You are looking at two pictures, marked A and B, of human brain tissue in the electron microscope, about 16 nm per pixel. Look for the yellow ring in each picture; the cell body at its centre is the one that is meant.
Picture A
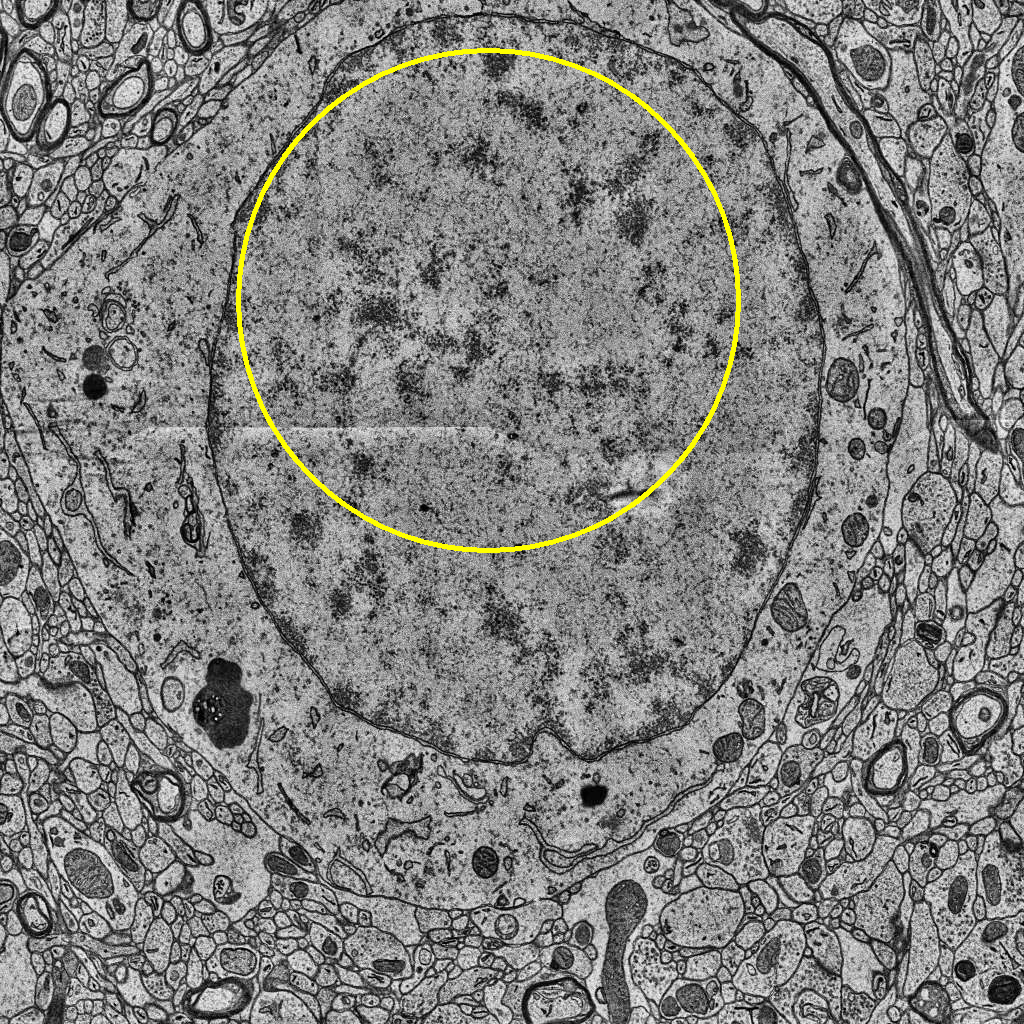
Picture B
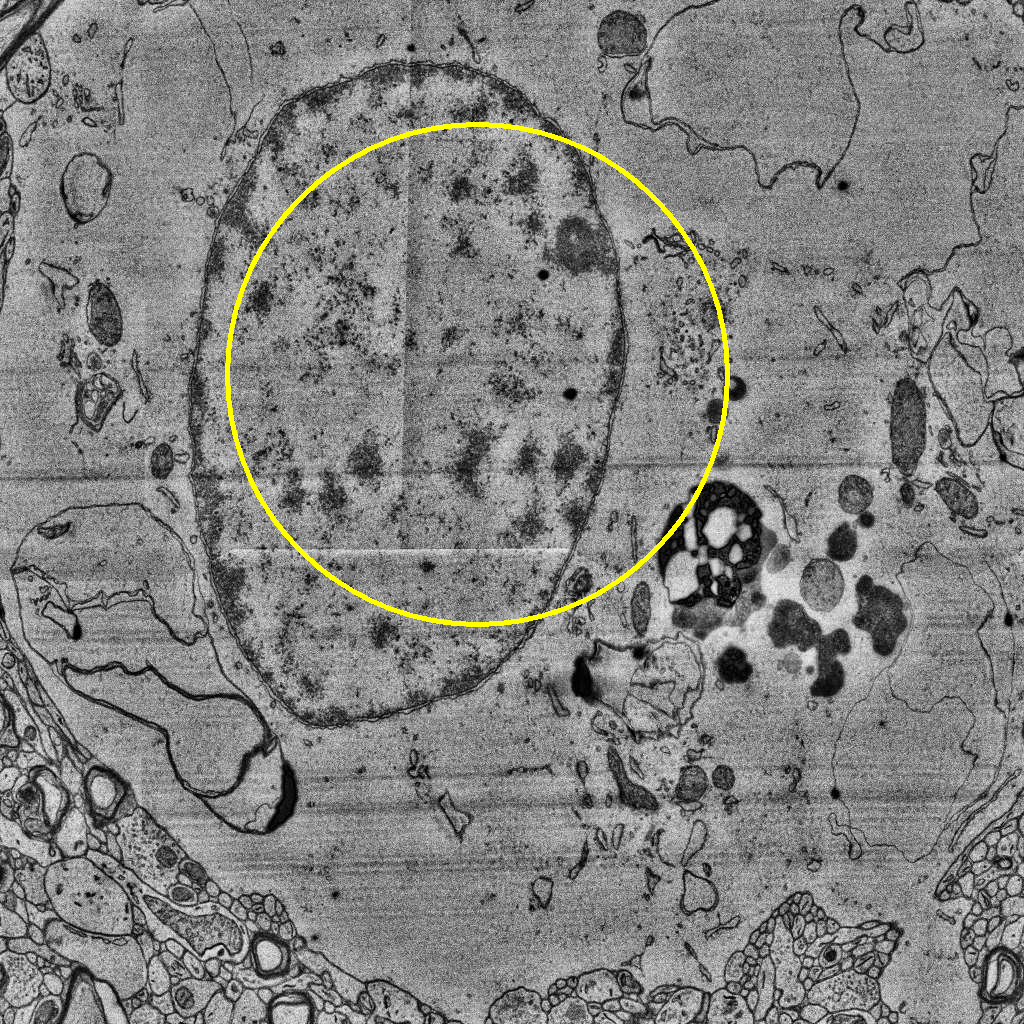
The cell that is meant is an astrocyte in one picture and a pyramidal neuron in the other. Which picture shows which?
Picture A is of a pyramidal neuron, and picture B is of an astrocyte.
